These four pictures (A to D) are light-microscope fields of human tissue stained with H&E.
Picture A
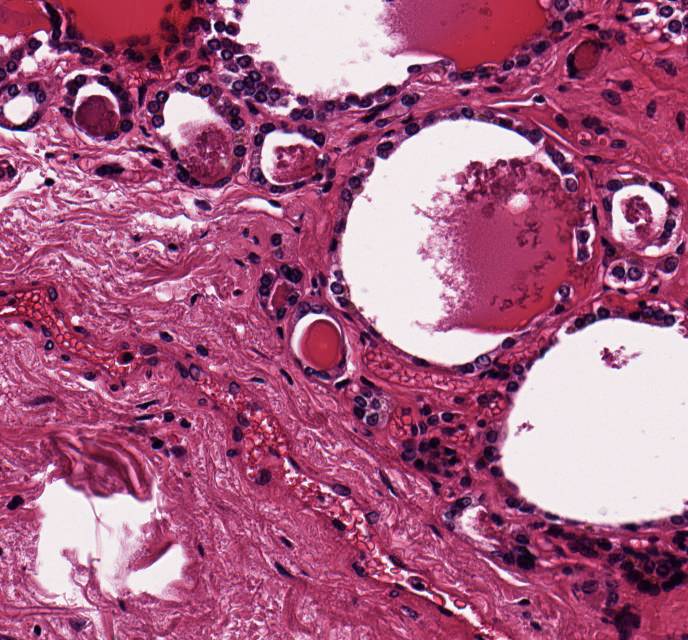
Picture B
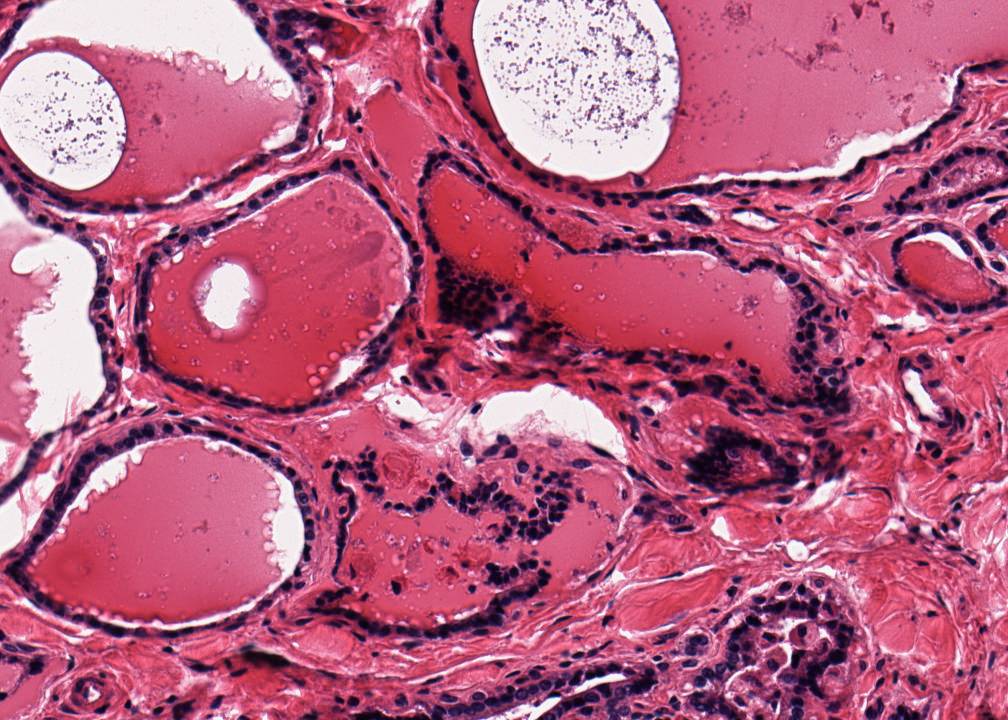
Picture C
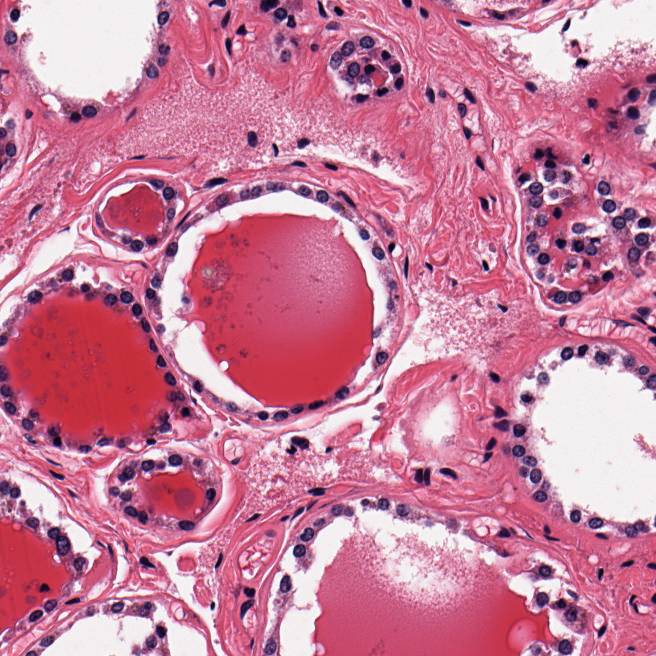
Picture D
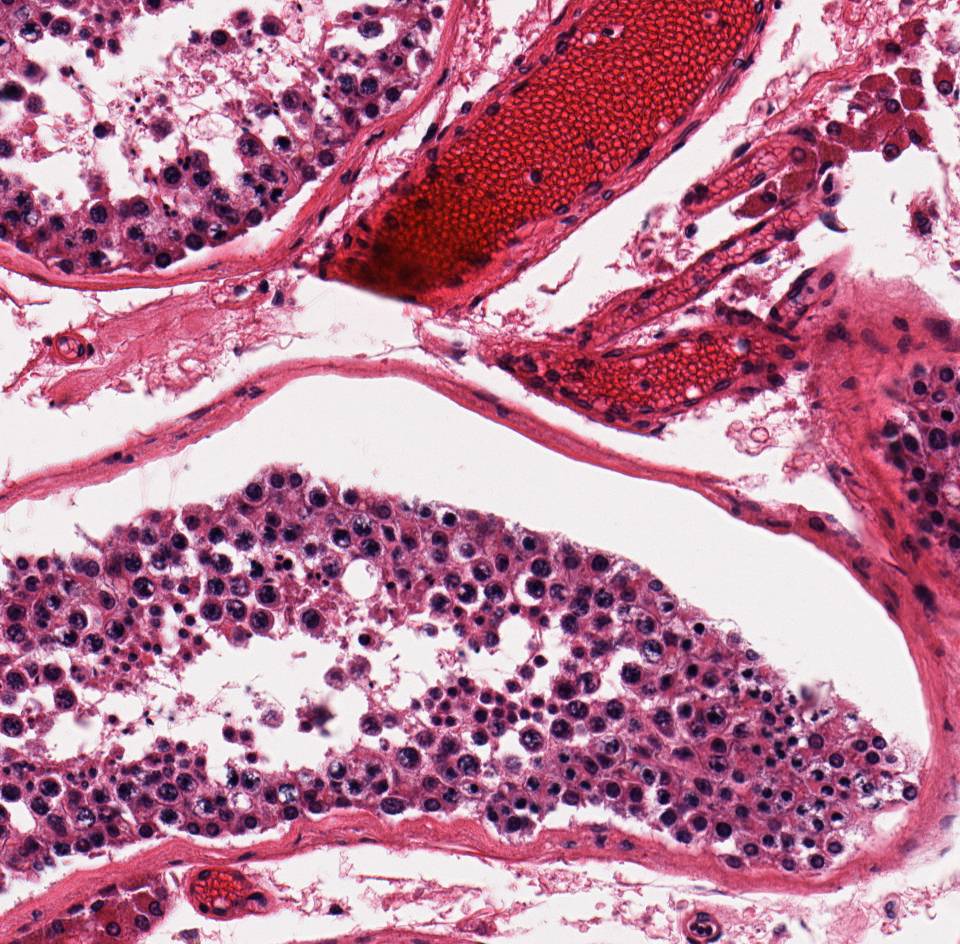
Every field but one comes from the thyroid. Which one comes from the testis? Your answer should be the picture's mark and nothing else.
D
